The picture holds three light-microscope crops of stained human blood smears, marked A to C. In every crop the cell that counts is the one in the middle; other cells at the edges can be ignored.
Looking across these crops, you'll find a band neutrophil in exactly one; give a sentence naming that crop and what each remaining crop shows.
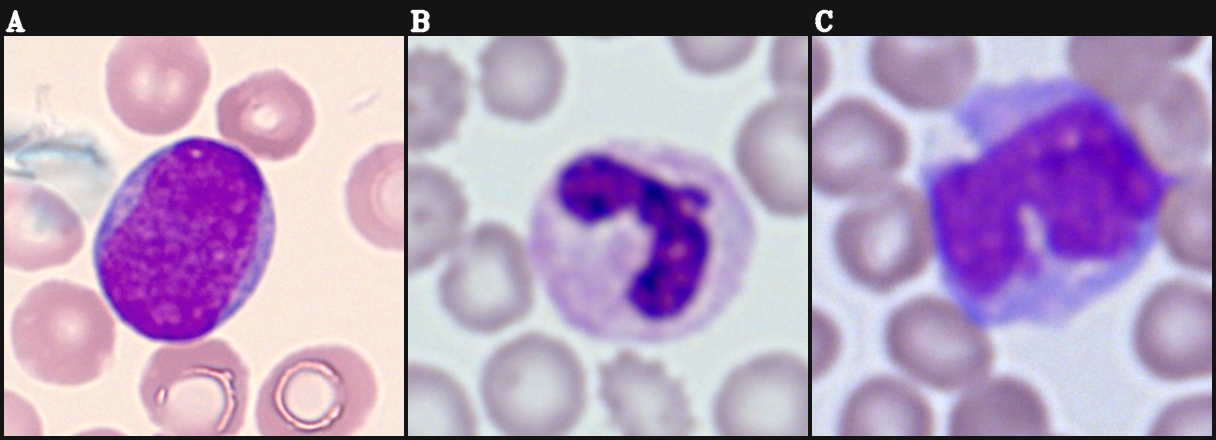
Crop B carries a band neutrophil in its middle, whereas crop A is a blast and crop C is a monocyte.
